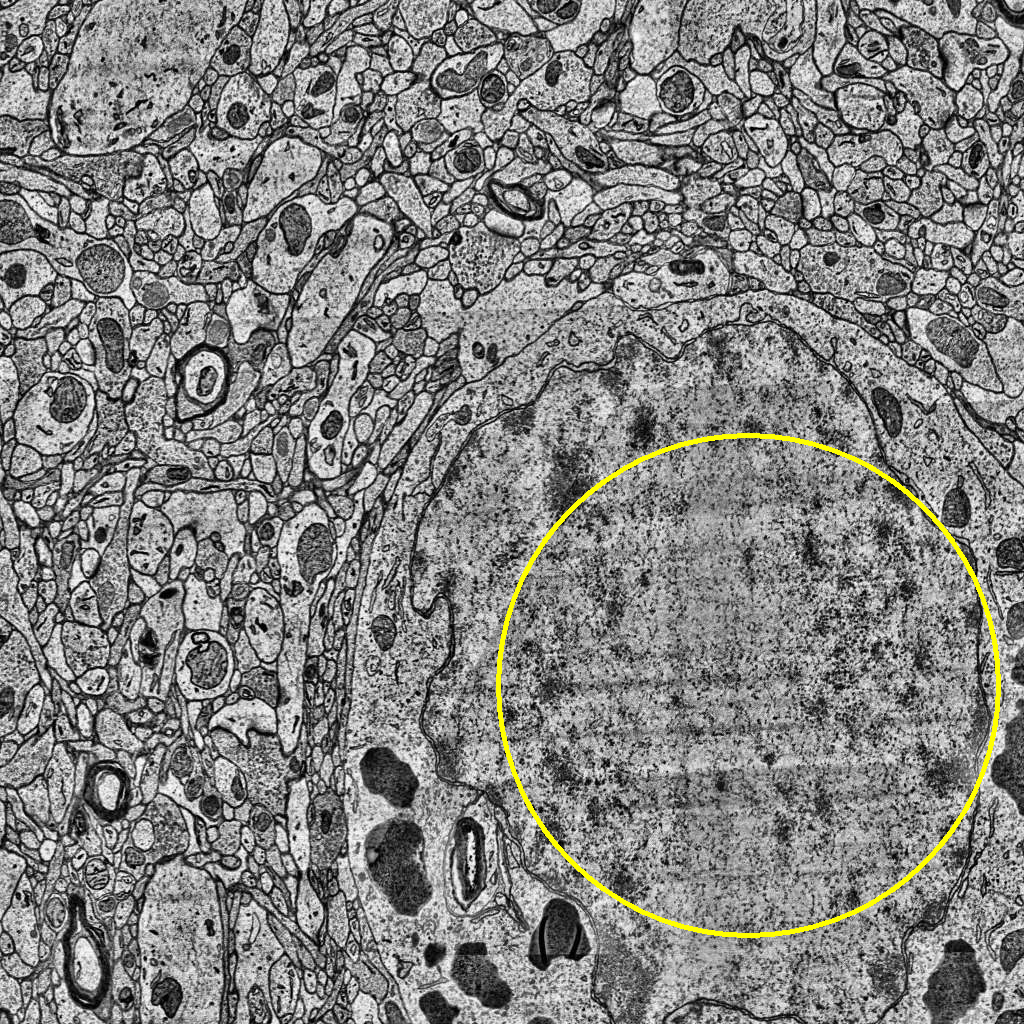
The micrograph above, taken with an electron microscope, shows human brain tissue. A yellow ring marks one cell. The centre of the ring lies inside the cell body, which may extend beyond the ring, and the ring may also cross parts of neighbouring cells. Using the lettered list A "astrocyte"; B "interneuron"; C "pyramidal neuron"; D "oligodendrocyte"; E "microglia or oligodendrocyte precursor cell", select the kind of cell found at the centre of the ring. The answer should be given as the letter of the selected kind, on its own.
B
